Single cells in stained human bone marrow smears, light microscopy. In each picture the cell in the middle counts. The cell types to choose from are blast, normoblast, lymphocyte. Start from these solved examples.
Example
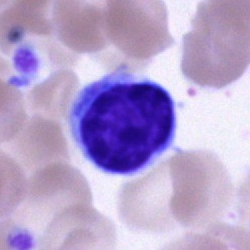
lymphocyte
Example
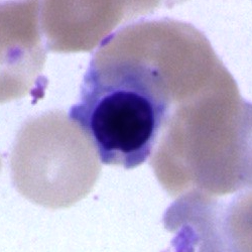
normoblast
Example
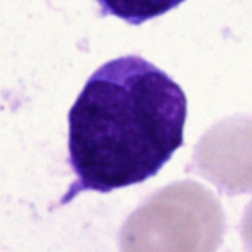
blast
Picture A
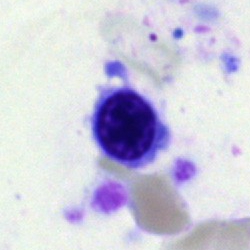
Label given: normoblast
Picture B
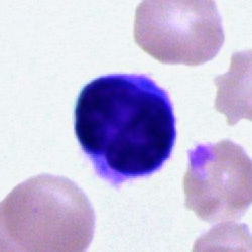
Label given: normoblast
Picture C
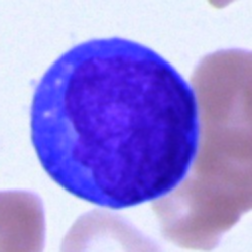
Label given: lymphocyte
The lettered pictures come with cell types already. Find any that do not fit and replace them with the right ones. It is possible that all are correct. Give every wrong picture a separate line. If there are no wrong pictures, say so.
B: lymphocyte, not normoblast
C: blast, not lymphocyte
